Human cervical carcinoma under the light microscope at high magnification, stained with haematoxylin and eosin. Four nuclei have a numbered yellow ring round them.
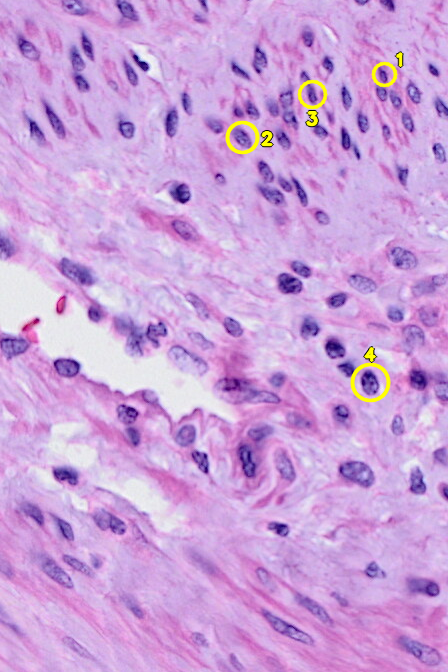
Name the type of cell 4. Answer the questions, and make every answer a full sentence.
The cell bearing label 4 corresponds to a lymphocyte.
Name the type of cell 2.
The nucleus with number 2 is that of a smooth muscle cell.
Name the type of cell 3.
The cell to which the number 3 is assigned is a smooth muscle cell.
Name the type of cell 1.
At number 1, the marked cell is a smooth muscle cell.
